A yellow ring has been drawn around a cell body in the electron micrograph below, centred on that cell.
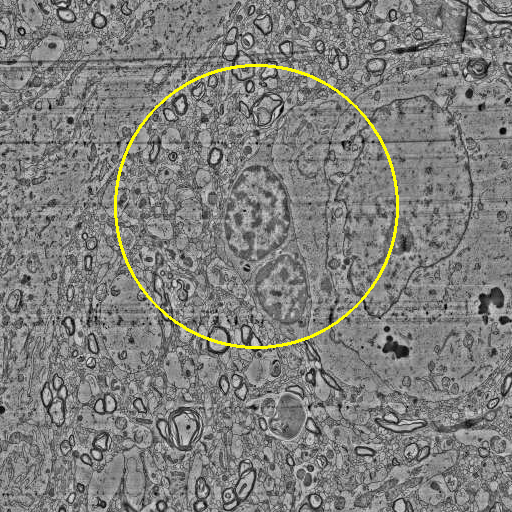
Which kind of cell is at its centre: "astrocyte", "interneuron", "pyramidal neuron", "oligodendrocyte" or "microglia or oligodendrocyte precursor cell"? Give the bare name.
oligodendrocyte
